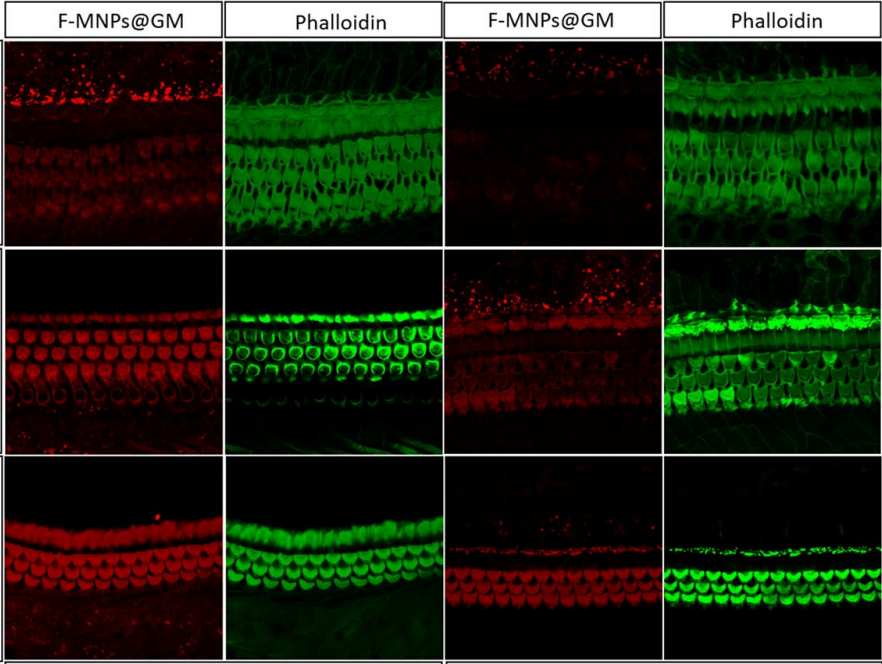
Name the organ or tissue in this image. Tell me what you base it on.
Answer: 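Cochlea. Surface views of a sensory epithelium with hair cells in orderly parallel rows. One row of cells lies apart from three further rows.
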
